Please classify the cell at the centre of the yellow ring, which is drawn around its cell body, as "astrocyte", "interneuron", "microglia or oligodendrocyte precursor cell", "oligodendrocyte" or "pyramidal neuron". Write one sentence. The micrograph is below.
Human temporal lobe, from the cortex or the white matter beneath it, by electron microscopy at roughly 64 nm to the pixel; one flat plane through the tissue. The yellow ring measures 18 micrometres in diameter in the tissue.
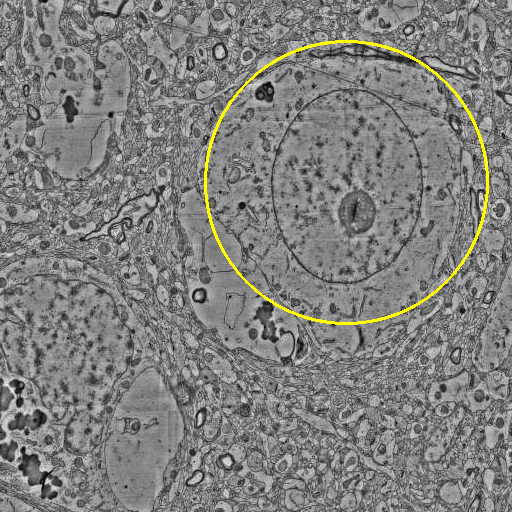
The cell at the ring's centre is classified as a pyramidal neuron.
